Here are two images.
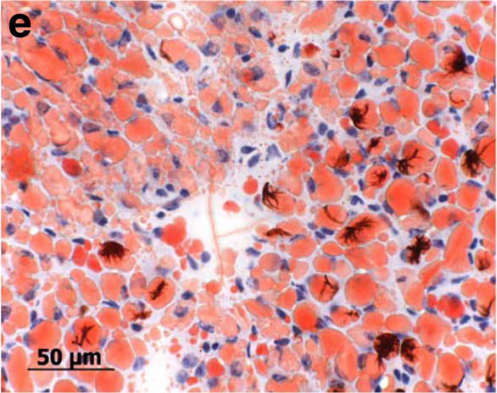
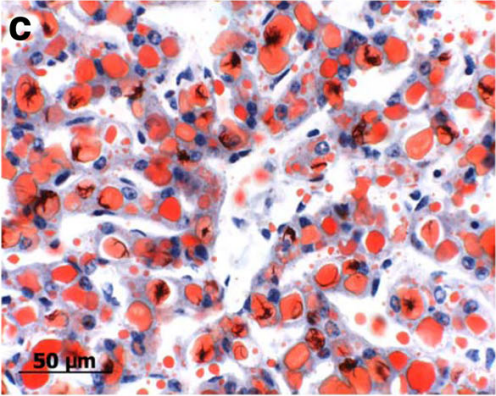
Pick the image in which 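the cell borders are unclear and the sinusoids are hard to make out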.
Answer: the first image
